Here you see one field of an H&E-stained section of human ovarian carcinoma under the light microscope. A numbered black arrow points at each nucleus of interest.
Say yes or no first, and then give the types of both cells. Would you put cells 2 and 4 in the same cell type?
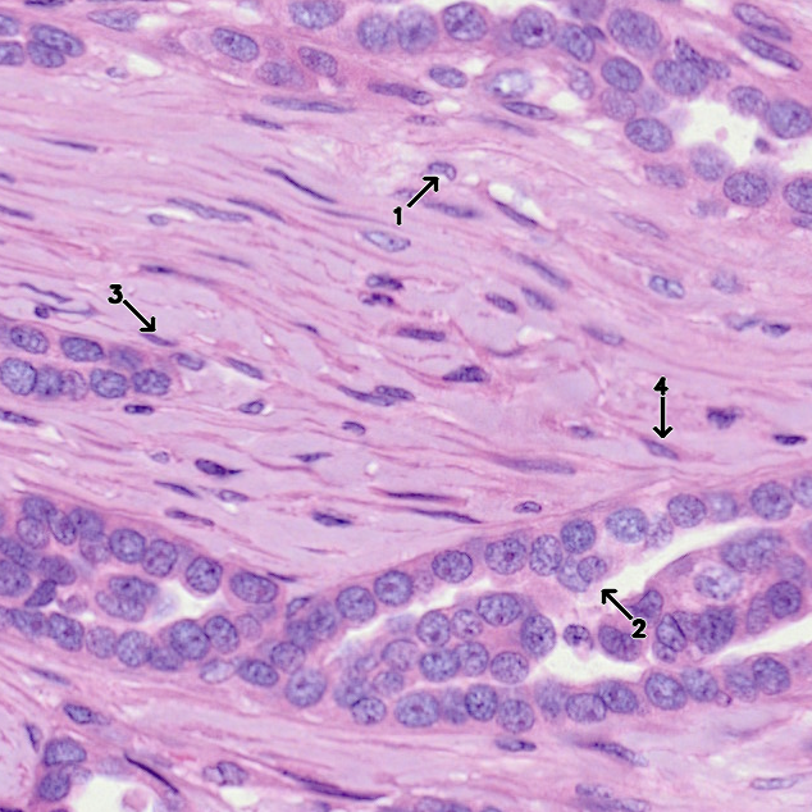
No, in contrast to cell 2, which is a carcinoma cell, cell 4 is a fibroblast.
